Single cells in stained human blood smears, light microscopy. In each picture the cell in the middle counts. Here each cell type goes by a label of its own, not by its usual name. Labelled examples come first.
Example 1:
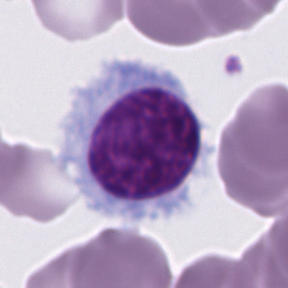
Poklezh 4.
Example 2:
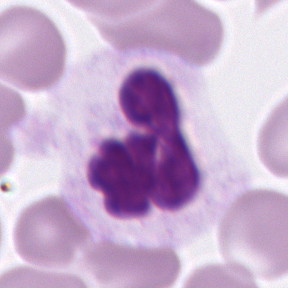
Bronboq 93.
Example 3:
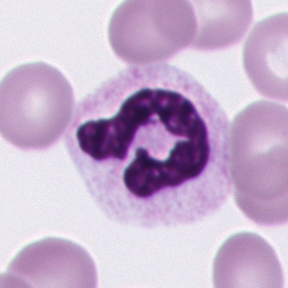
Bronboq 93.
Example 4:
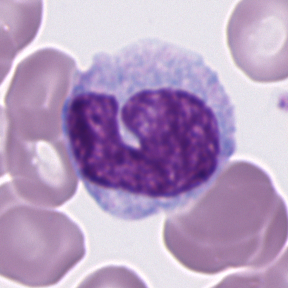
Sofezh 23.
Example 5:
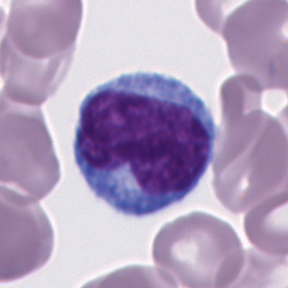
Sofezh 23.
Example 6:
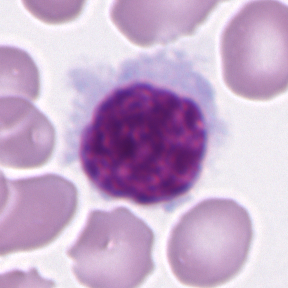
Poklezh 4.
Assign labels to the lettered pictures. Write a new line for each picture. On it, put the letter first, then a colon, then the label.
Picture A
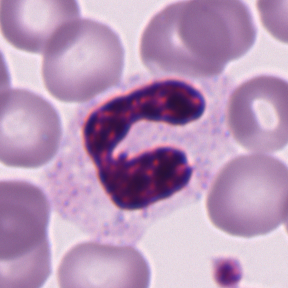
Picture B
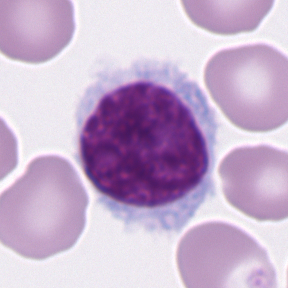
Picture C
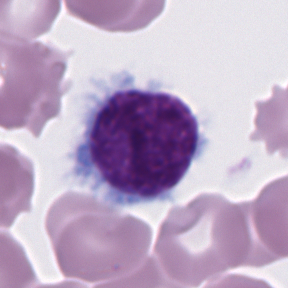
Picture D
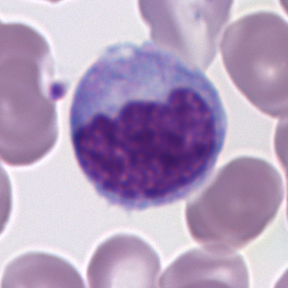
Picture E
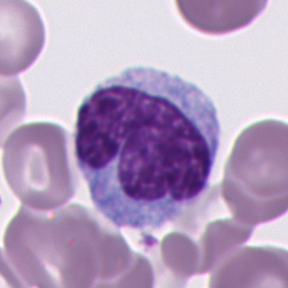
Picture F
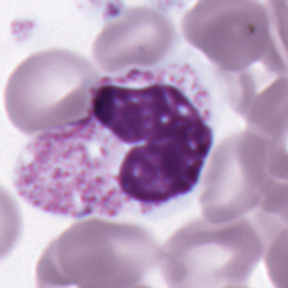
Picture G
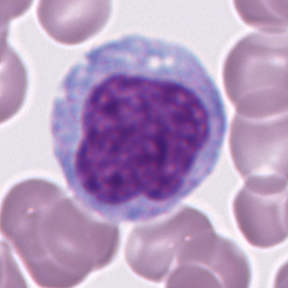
A: Bronboq 93.
B: Poklezh 4.
C: Poklezh 4.
D: Sofezh 23.
E: Sofezh 23.
F: Bronboq 93.
G: Sofezh 23.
